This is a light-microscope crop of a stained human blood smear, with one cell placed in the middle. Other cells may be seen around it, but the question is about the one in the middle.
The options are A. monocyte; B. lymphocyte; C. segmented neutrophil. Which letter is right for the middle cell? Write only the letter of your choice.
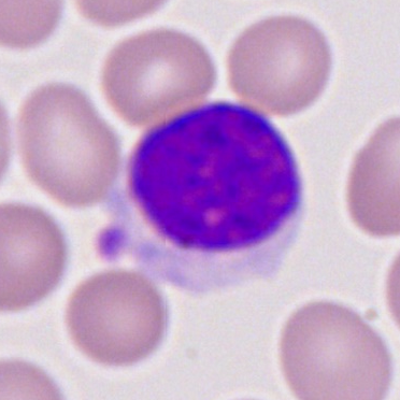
B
